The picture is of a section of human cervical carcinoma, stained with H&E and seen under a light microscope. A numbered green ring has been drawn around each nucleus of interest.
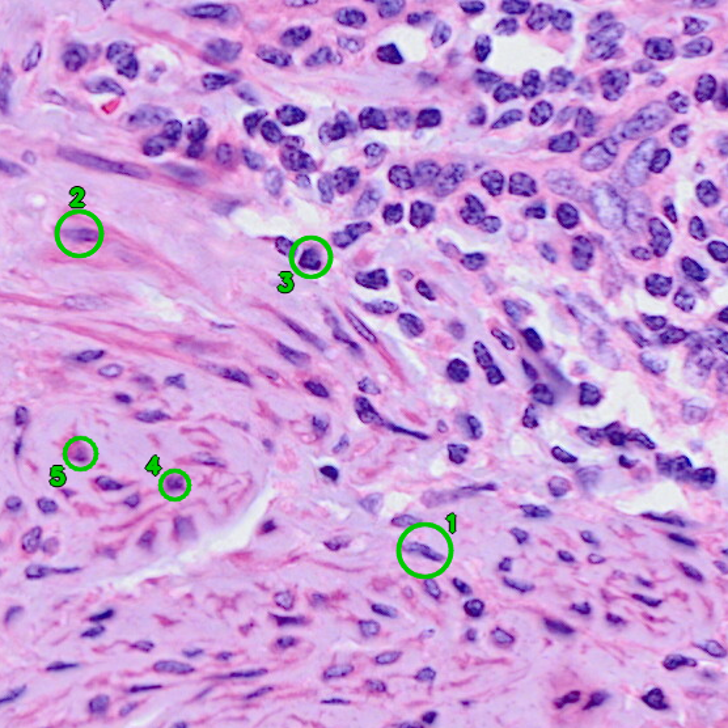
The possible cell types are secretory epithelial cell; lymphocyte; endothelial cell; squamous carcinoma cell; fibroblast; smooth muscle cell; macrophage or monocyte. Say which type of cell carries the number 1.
fibroblast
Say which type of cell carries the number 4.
smooth muscle cell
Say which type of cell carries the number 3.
lymphocyte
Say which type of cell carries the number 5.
smooth muscle cell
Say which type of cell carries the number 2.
smooth muscle cell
